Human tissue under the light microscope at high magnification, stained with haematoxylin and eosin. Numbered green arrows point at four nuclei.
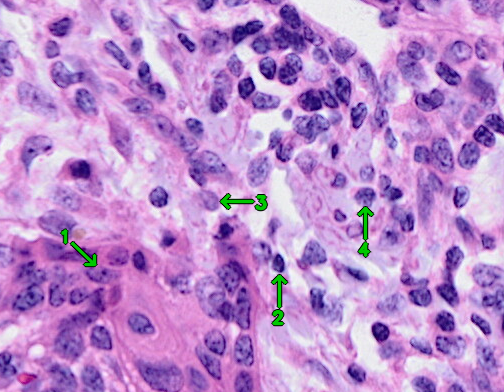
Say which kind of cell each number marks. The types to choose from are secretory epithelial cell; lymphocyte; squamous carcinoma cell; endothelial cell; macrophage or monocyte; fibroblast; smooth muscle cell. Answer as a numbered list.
1. squamous carcinoma cell
2. lymphocyte
3. macrophage or monocyte
4. lymphocyte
